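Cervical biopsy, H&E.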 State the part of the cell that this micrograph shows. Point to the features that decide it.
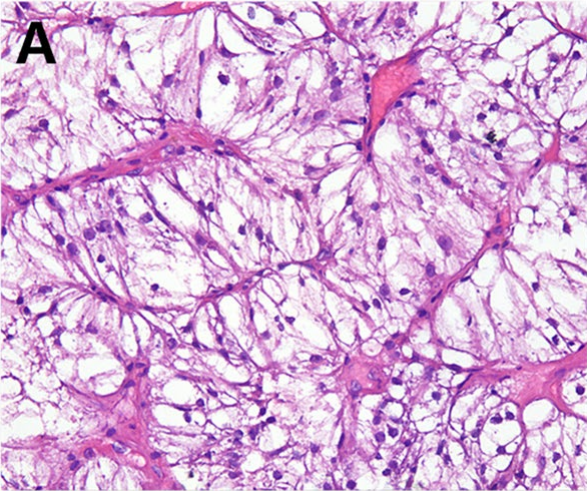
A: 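The cytoplasm of most cells is pale and empty-looking with only fine wispy strands. Cell borders stand out as thin purple-pink lines around clear spaces. So: clear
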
